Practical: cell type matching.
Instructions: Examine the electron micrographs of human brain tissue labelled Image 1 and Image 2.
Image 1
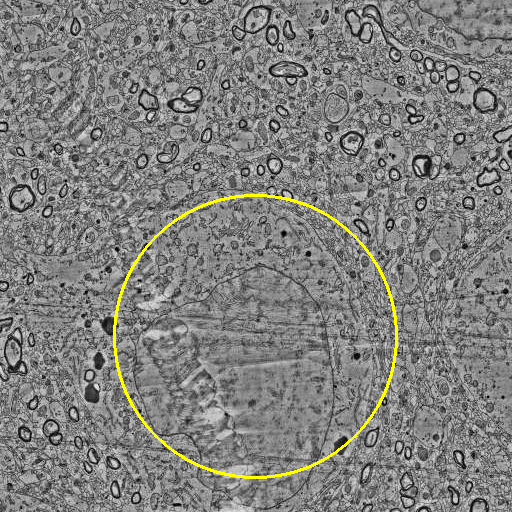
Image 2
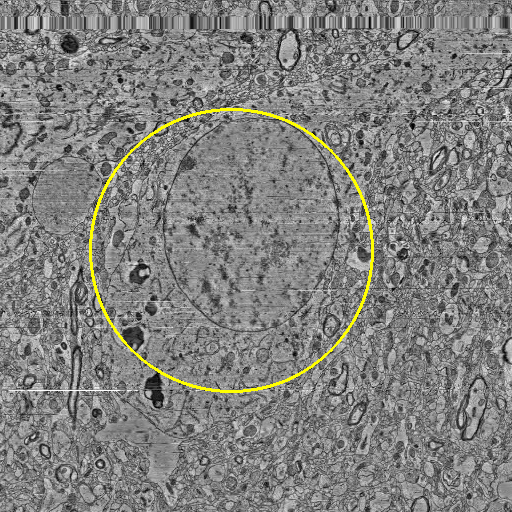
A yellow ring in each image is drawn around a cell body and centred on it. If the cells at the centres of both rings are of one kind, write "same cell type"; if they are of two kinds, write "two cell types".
same cell type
